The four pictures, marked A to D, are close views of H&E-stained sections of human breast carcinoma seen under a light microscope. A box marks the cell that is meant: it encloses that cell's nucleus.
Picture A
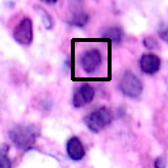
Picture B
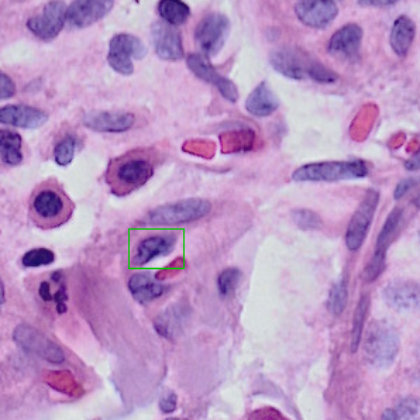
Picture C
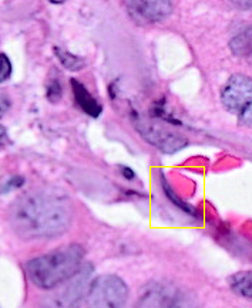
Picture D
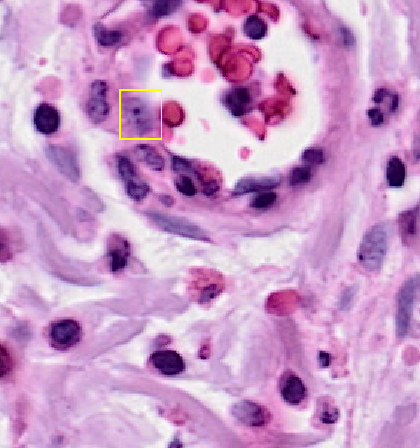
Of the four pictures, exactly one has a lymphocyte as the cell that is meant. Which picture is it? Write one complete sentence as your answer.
Picture A is the one that shows the lymphocyte.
